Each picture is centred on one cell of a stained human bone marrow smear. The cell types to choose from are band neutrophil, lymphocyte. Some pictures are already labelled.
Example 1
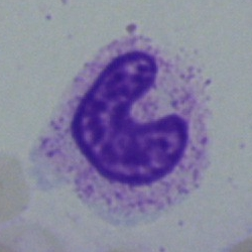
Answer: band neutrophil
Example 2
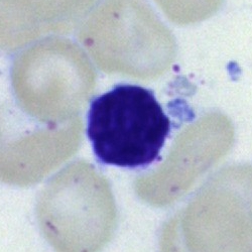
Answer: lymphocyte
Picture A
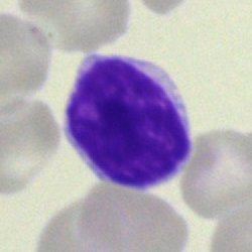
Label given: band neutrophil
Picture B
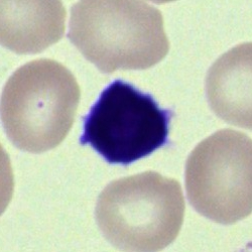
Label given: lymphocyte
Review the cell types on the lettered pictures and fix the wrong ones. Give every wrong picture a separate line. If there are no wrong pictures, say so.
A is labelled band neutrophil; correct label: lymphocyte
